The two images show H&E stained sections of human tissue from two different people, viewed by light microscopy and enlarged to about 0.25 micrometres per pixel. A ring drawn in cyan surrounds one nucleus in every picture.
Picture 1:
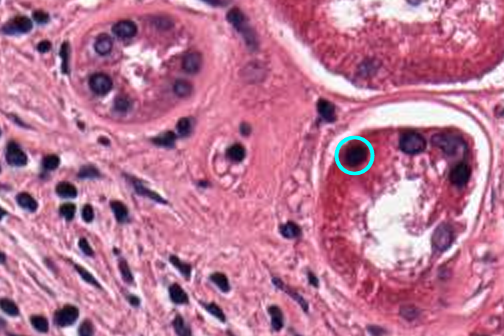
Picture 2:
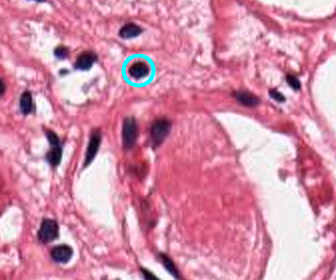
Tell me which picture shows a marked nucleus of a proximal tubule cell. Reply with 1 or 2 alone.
1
